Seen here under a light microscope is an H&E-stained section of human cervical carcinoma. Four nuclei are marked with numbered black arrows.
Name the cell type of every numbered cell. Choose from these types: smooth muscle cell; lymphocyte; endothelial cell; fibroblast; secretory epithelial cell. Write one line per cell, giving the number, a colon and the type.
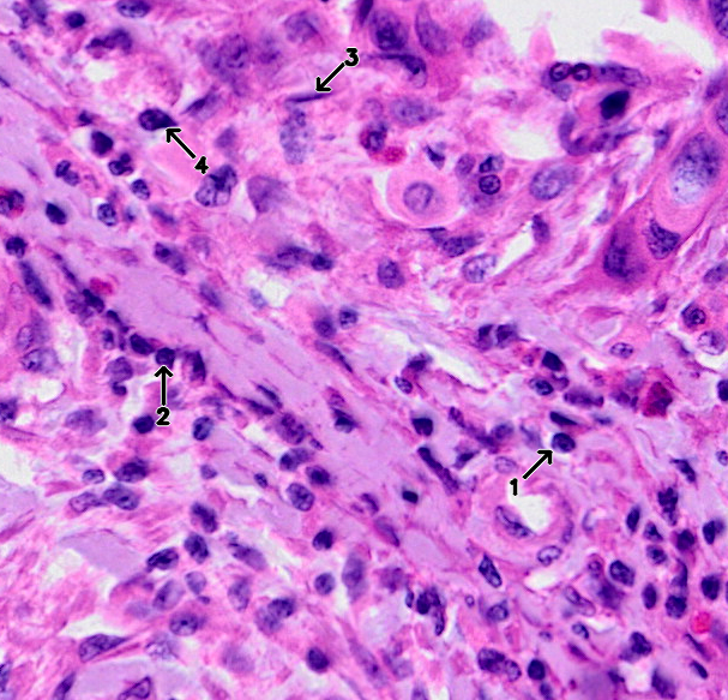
1: lymphocyte
2: lymphocyte
3: fibroblast
4: lymphocyte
